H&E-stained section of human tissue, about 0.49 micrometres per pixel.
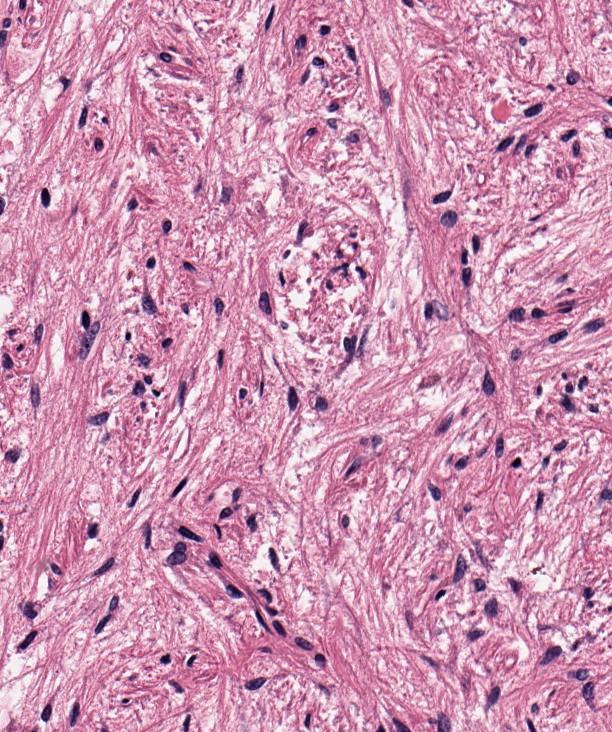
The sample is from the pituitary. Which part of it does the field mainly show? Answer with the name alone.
neurohypophysis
